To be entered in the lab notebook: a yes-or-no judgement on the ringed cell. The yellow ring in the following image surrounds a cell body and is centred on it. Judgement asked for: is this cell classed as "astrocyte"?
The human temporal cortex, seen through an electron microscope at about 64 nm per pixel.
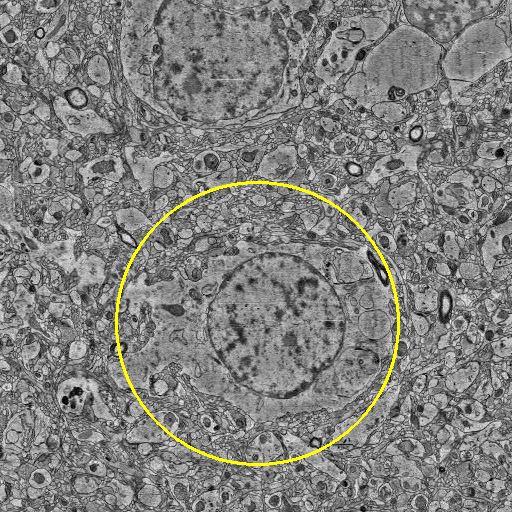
Yes, it is classed that way.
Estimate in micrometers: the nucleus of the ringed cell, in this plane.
Approximately 9 micrometers across in this plane.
